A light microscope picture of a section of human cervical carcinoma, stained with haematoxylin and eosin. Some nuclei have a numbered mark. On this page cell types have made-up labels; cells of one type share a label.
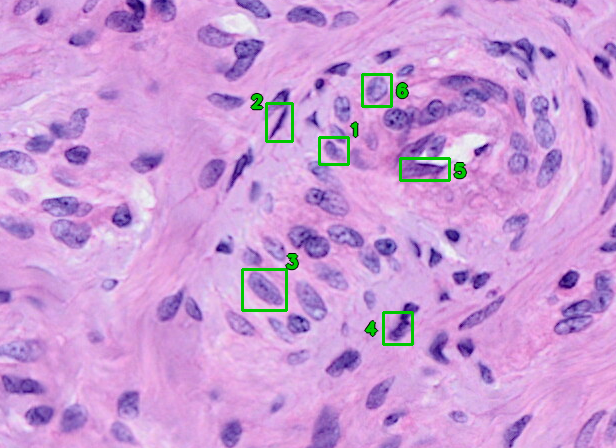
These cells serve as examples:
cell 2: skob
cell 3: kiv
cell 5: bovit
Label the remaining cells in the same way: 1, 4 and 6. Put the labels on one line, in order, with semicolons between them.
kiv; skob; kiv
